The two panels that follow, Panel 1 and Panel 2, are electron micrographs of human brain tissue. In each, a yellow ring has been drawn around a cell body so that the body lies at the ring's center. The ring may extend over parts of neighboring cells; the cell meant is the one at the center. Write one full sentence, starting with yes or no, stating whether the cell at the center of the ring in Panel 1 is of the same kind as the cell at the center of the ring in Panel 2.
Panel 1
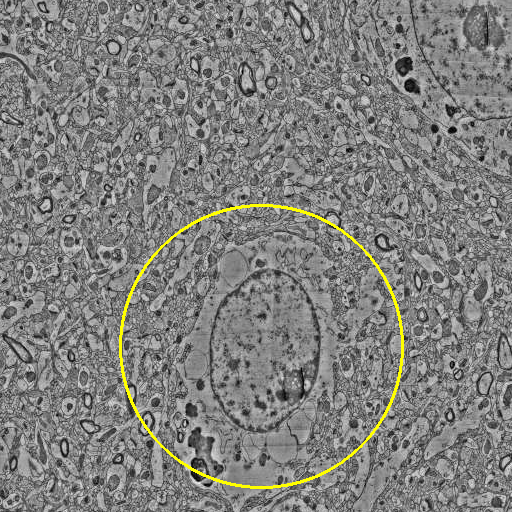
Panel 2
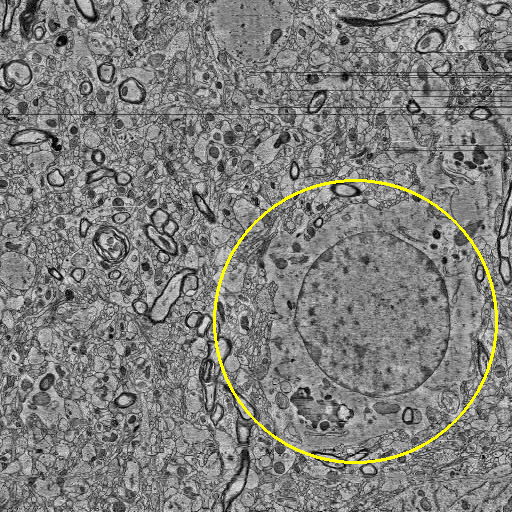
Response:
Yes, the cells in both panels are of the same kind.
